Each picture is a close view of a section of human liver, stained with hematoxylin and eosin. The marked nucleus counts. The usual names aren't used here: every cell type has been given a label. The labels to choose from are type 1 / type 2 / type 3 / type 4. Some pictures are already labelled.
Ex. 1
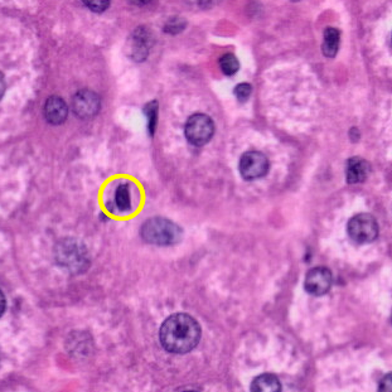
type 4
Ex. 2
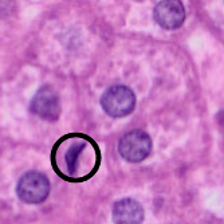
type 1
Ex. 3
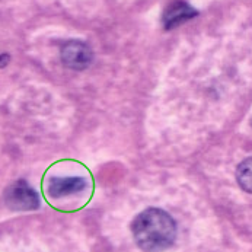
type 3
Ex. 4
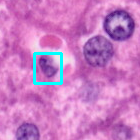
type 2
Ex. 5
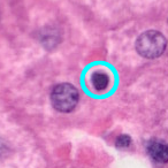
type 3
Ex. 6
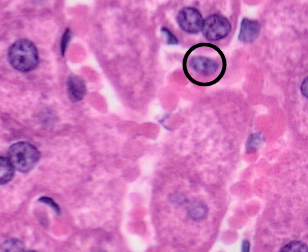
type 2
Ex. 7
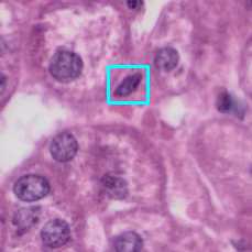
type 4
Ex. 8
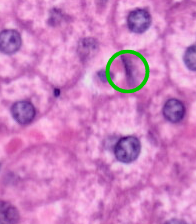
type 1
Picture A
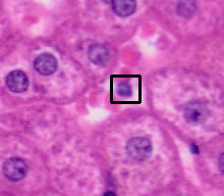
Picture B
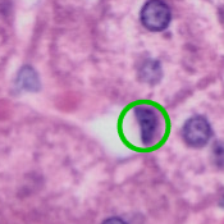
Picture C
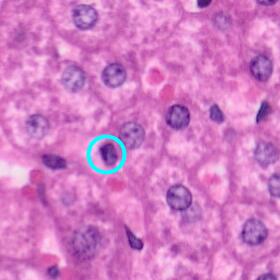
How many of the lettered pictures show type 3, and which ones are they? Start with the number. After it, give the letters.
1: A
